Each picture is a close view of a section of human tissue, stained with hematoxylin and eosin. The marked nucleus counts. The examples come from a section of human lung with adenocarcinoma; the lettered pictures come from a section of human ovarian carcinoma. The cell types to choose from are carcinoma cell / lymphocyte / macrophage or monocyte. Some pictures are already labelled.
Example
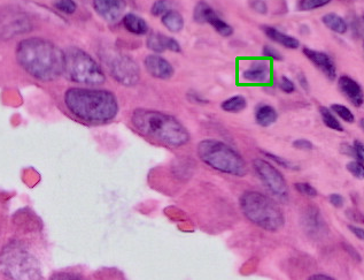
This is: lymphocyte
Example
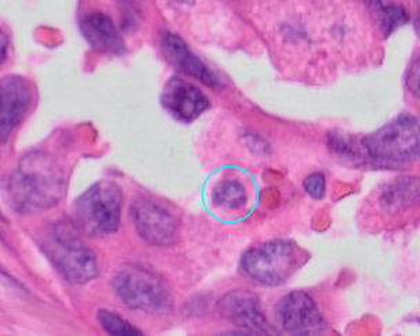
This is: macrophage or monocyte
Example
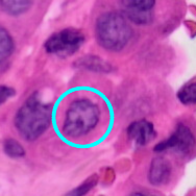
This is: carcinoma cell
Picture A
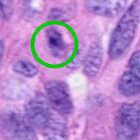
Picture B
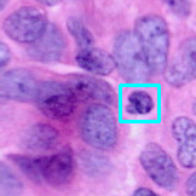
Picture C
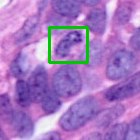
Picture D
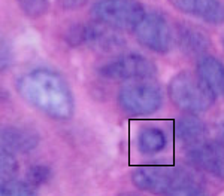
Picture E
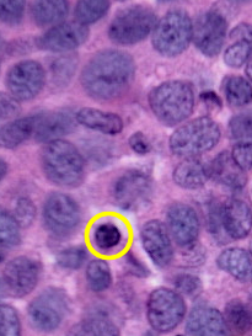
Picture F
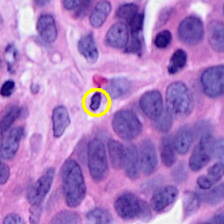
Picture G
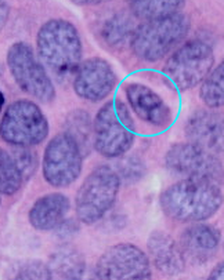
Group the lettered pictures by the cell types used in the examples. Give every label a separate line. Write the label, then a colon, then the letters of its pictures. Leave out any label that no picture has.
lymphocyte: A, B, E, F
macrophage or monocyte: C, D, G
